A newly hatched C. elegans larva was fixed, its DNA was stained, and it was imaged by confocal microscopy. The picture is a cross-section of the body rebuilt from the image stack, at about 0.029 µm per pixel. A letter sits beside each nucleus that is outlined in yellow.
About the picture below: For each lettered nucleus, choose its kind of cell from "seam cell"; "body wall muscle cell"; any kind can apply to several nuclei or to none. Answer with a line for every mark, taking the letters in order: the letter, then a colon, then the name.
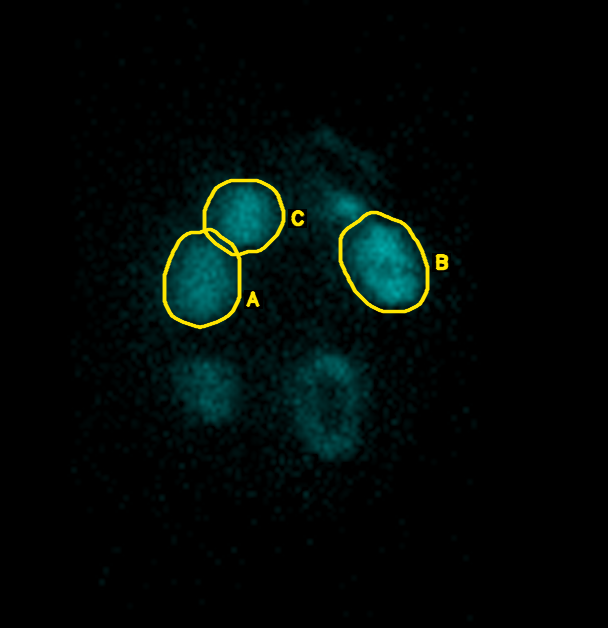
A: seam cell
B: seam cell
C: body wall muscle cell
